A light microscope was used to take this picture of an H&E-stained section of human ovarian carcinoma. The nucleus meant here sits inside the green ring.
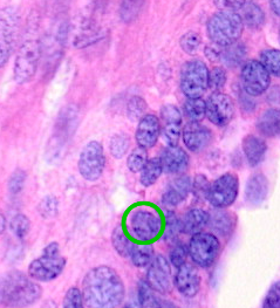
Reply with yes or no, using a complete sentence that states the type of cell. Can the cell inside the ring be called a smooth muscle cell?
No, not quite: the cell inside the ring is a carcinoma cell rather than a smooth muscle cell.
